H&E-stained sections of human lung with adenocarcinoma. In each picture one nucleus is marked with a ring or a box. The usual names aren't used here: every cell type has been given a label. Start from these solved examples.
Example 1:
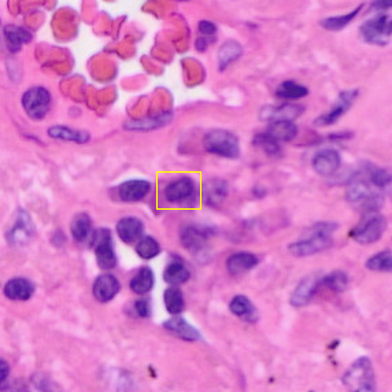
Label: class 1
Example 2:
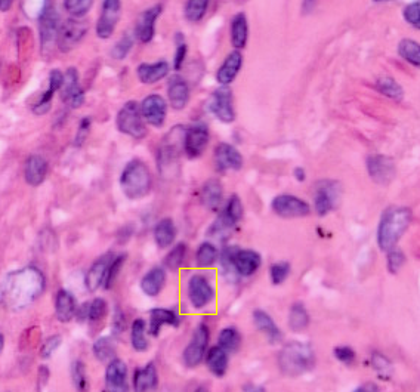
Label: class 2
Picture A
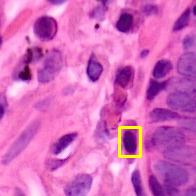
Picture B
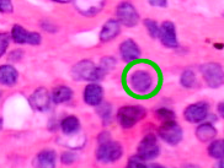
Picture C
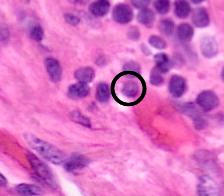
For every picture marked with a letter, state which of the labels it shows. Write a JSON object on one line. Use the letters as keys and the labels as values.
{"A": "class 1", "B": "class 2", "C": "class 2"}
